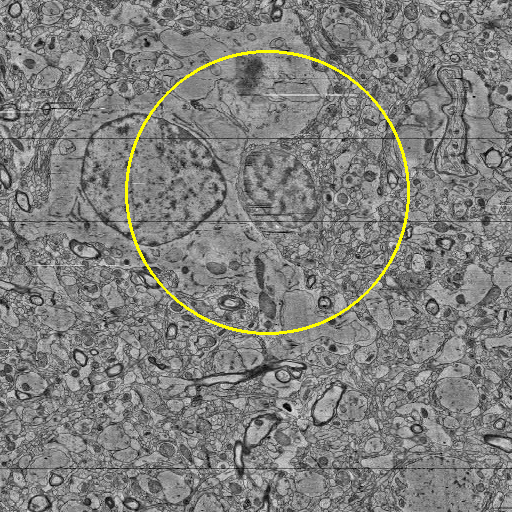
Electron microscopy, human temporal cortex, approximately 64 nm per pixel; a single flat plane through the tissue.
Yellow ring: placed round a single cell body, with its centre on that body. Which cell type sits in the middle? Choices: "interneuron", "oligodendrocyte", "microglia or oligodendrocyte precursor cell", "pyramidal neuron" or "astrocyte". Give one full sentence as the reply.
It is an oligodendrocyte whose cell body sits at the centre of the yellow ring.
